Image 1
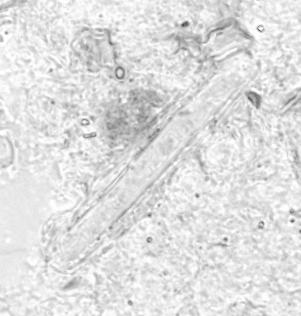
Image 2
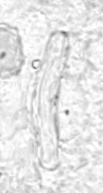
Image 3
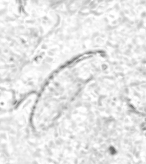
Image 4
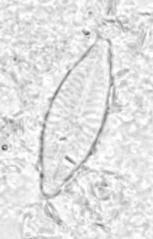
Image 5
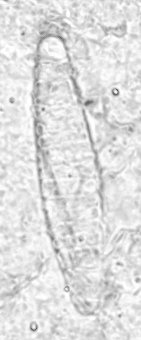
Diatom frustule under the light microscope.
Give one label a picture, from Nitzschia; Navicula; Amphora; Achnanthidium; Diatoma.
Picture 1: Nitzschia
Picture 2: Achnanthidium
Picture 3: Amphora
Picture 4: Navicula
Picture 5: Diatoma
